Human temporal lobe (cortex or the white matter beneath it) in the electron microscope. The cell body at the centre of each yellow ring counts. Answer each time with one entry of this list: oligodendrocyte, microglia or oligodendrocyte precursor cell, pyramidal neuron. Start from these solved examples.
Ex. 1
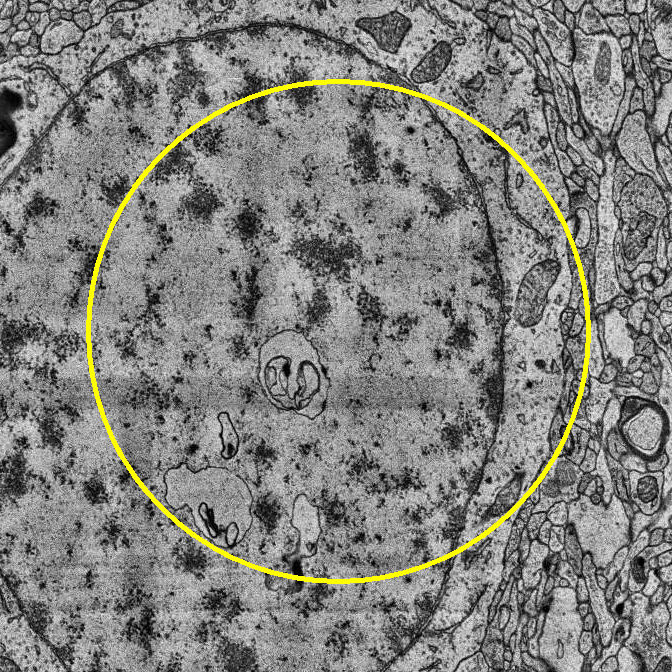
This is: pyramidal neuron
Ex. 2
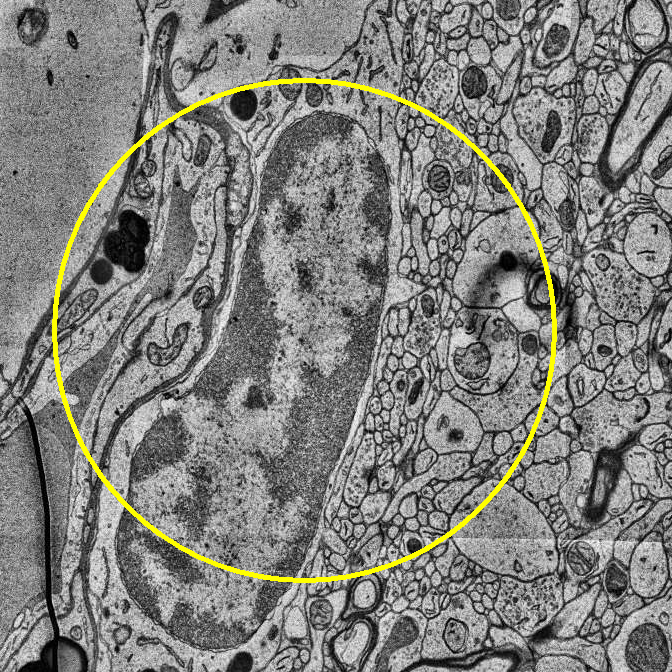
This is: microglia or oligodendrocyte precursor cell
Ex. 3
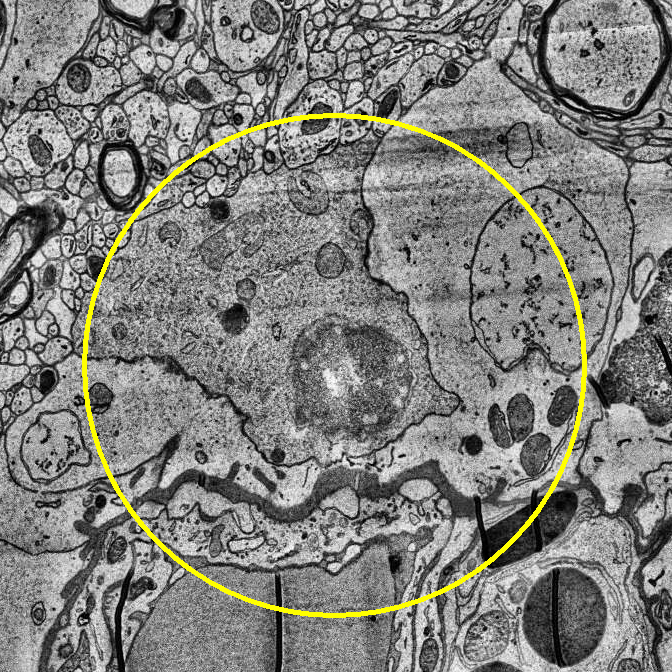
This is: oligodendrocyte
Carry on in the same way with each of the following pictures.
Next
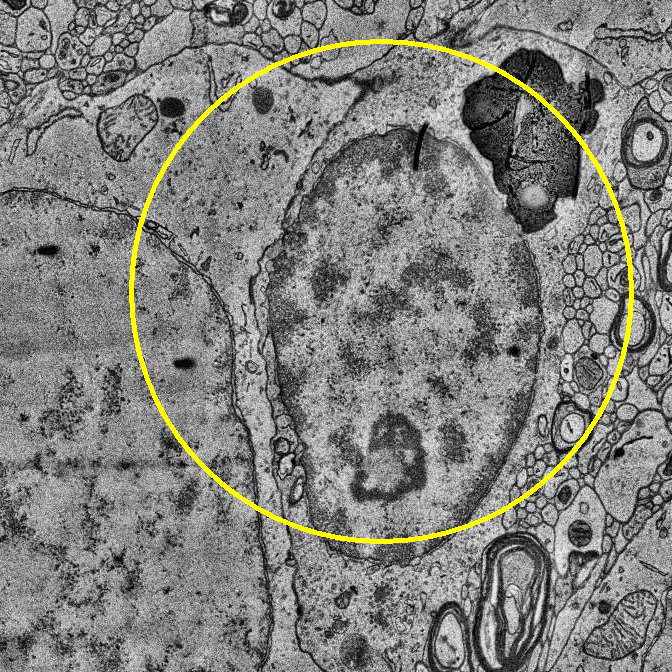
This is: oligodendrocyte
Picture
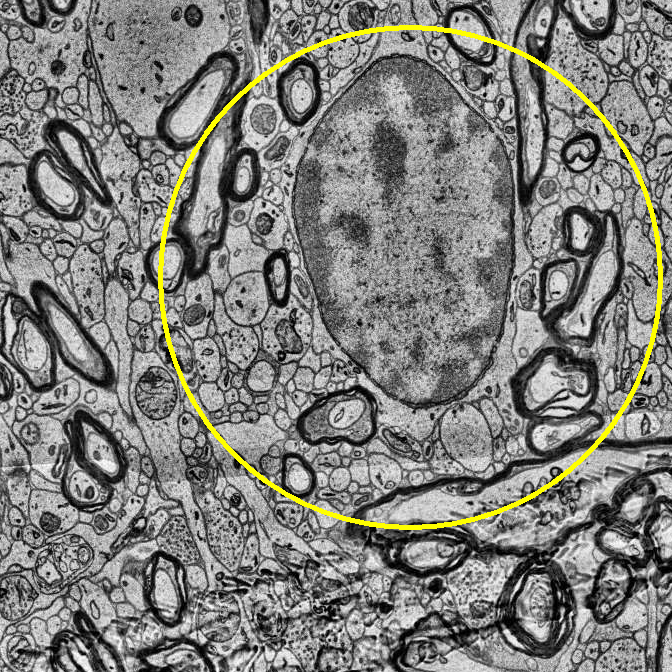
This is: microglia or oligodendrocyte precursor cell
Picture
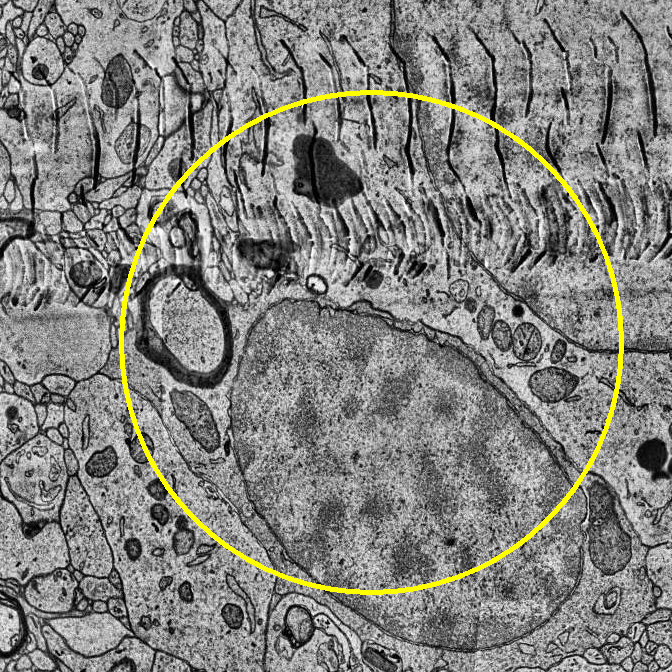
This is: oligodendrocyte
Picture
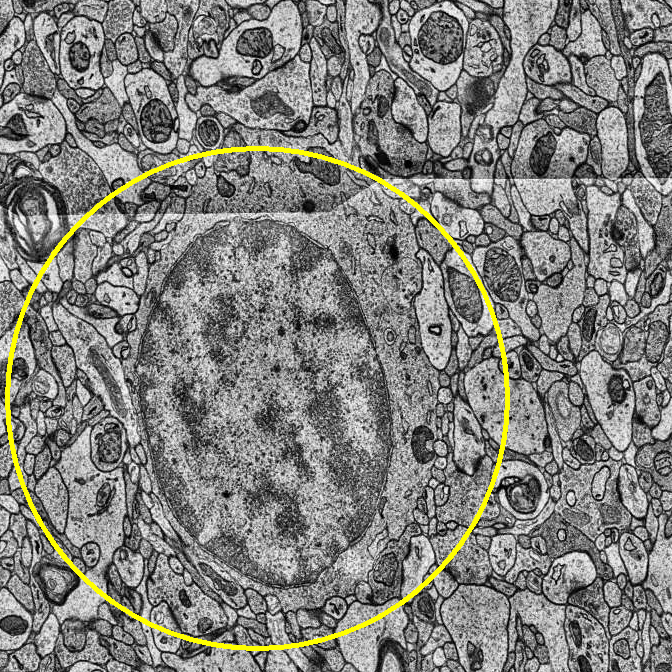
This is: oligodendrocyte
